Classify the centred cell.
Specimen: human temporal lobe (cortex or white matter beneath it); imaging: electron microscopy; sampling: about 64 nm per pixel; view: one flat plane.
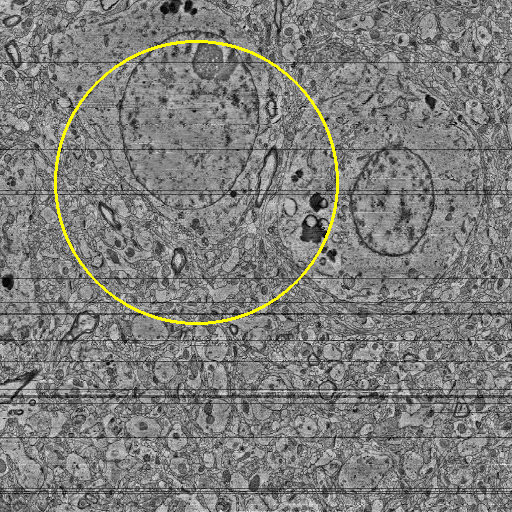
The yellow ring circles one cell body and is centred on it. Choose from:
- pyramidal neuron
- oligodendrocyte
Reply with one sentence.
The ring is centred on a pyramidal neuron.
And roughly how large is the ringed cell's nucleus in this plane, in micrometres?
The ringed cell's nucleus measures approximately 12 by 9 micrometres in this plane.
